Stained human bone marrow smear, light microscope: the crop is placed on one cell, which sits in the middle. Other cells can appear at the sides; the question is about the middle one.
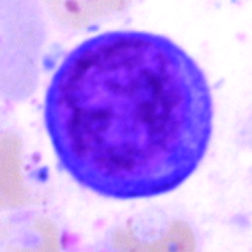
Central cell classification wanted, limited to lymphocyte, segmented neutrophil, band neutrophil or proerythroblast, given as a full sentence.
Whatever else lies nearby, the middle cell is a proerythroblast.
